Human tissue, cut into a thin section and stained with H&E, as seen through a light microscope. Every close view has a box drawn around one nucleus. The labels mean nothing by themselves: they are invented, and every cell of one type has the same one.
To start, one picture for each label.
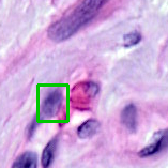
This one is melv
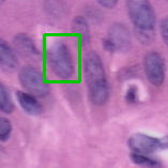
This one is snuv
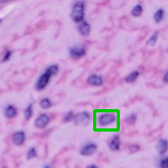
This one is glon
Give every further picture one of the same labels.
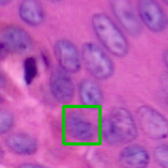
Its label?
snuv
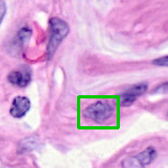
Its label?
melv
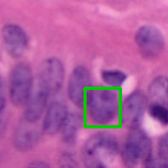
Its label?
snuv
